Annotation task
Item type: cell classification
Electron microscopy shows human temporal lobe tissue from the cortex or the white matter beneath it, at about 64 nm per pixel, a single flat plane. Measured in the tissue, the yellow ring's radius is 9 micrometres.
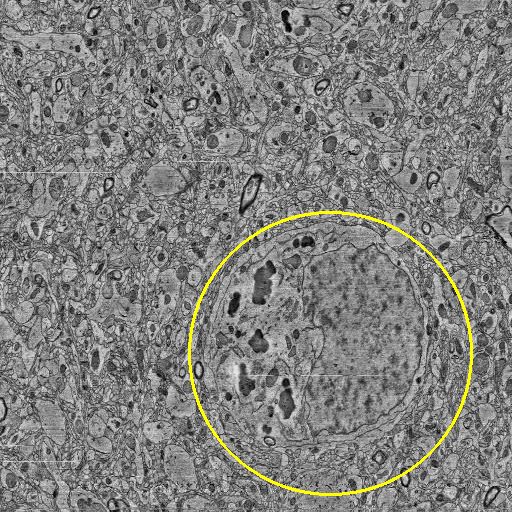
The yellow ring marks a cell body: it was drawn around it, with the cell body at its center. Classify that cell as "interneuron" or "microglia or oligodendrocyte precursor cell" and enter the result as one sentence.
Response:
The ring's center falls on an interneuron.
